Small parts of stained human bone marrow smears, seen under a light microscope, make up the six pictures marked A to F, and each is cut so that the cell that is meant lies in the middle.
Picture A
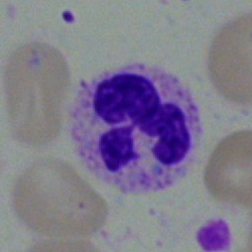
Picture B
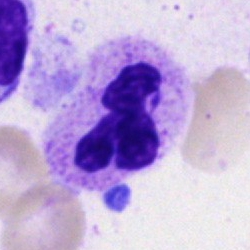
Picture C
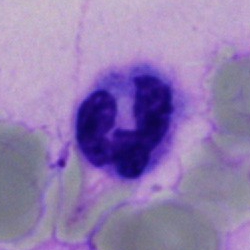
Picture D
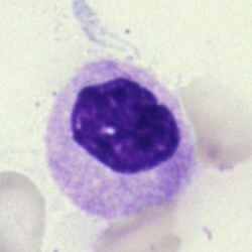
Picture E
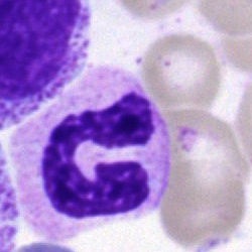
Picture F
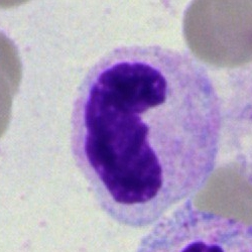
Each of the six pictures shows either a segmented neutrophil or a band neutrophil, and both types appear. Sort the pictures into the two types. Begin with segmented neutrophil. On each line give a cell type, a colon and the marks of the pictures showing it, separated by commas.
segmented neutrophil: A, B, C
band neutrophil: D, E, F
